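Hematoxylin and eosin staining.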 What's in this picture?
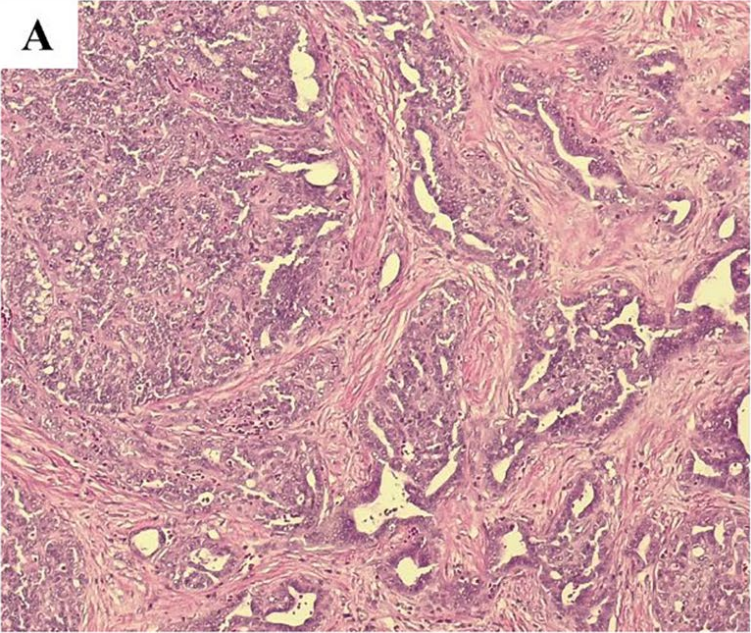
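Low-power view of a glandular tumour with solid nests and many small, irregular, slit-like and tubular gland spaces. Bands of pink fibrous stroma separate the epithelial lobules.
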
